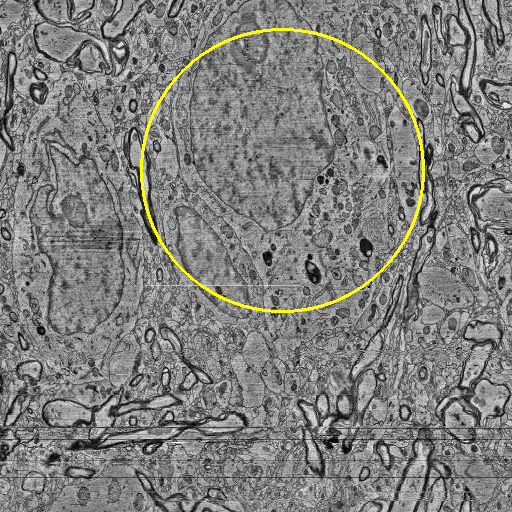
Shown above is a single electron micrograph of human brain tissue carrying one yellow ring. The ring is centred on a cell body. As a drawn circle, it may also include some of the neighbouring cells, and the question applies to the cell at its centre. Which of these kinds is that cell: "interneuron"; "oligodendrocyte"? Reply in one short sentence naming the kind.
The cell marked by the ring is an interneuron.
